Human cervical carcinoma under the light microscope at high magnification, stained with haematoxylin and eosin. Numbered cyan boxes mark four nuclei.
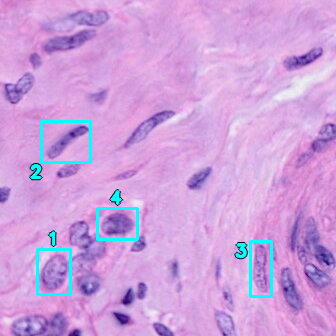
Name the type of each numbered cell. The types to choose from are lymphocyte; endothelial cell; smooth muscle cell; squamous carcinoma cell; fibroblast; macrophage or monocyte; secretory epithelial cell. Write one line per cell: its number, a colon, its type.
1: endothelial cell
2: fibroblast
3: smooth muscle cell
4: endothelial cell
